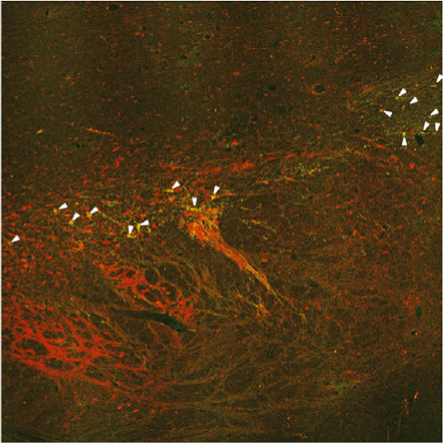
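At low magnification, this section of brain tissue shows a band of small, scattered cell bodies running obliquely across the upper middle of the field, several of them yellow where green and red overlap. The rest of the tissue is dimmer, with faint fibres. The overall pattern suggests a band of labelled neurons whose processes descend into underlying fibre tracts. The arrowheads mark individual neurons carrying both labels.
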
